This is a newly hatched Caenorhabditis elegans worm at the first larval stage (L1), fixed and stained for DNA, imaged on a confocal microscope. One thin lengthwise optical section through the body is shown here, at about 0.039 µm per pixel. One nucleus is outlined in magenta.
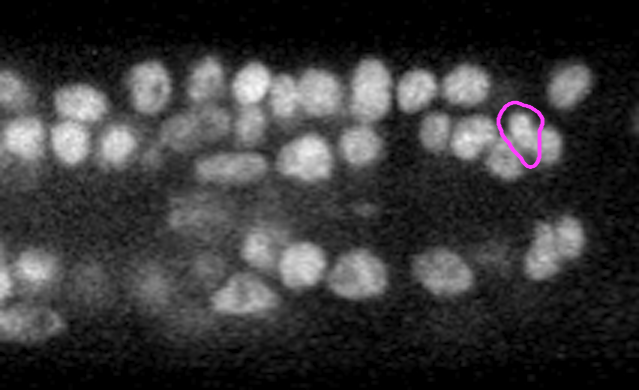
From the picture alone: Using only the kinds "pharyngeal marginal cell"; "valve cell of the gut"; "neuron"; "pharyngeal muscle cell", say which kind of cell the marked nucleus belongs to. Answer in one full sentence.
It is the nucleus of a valve cell of the gut.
